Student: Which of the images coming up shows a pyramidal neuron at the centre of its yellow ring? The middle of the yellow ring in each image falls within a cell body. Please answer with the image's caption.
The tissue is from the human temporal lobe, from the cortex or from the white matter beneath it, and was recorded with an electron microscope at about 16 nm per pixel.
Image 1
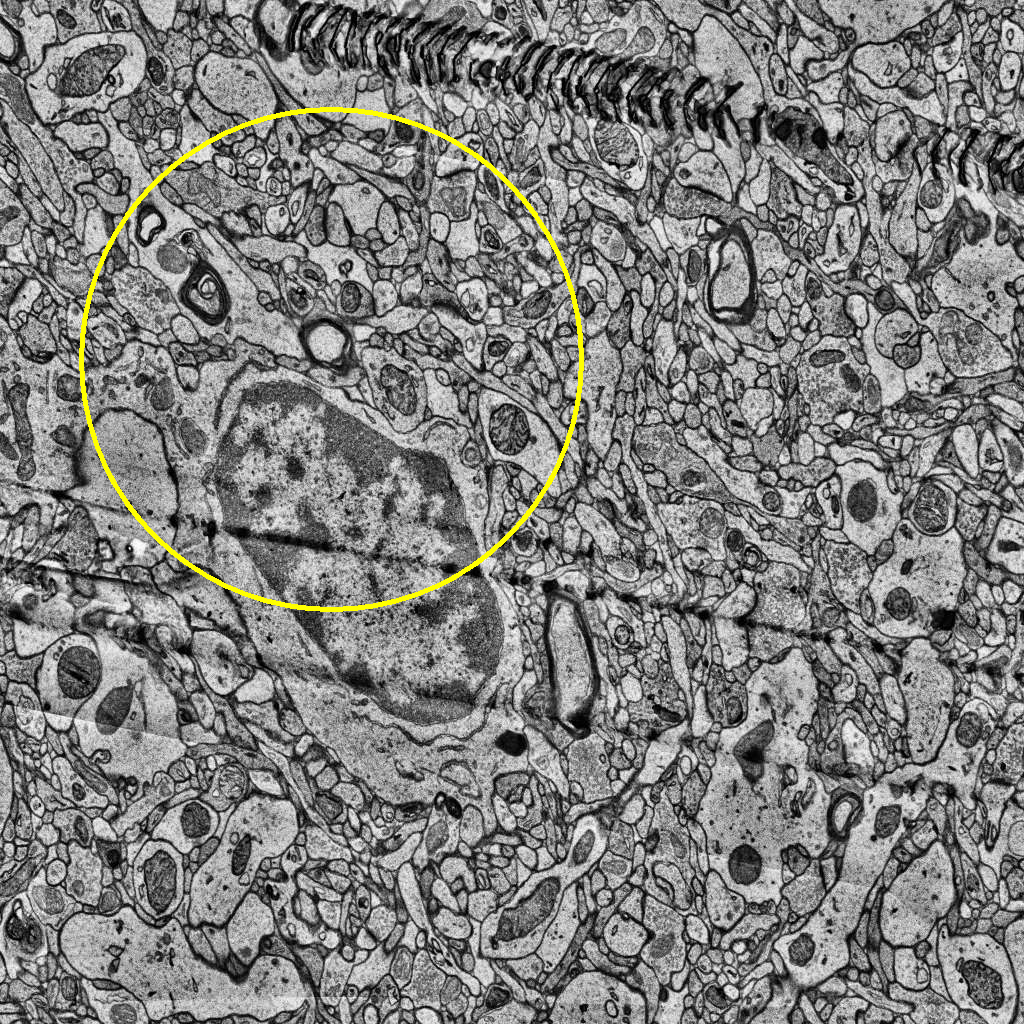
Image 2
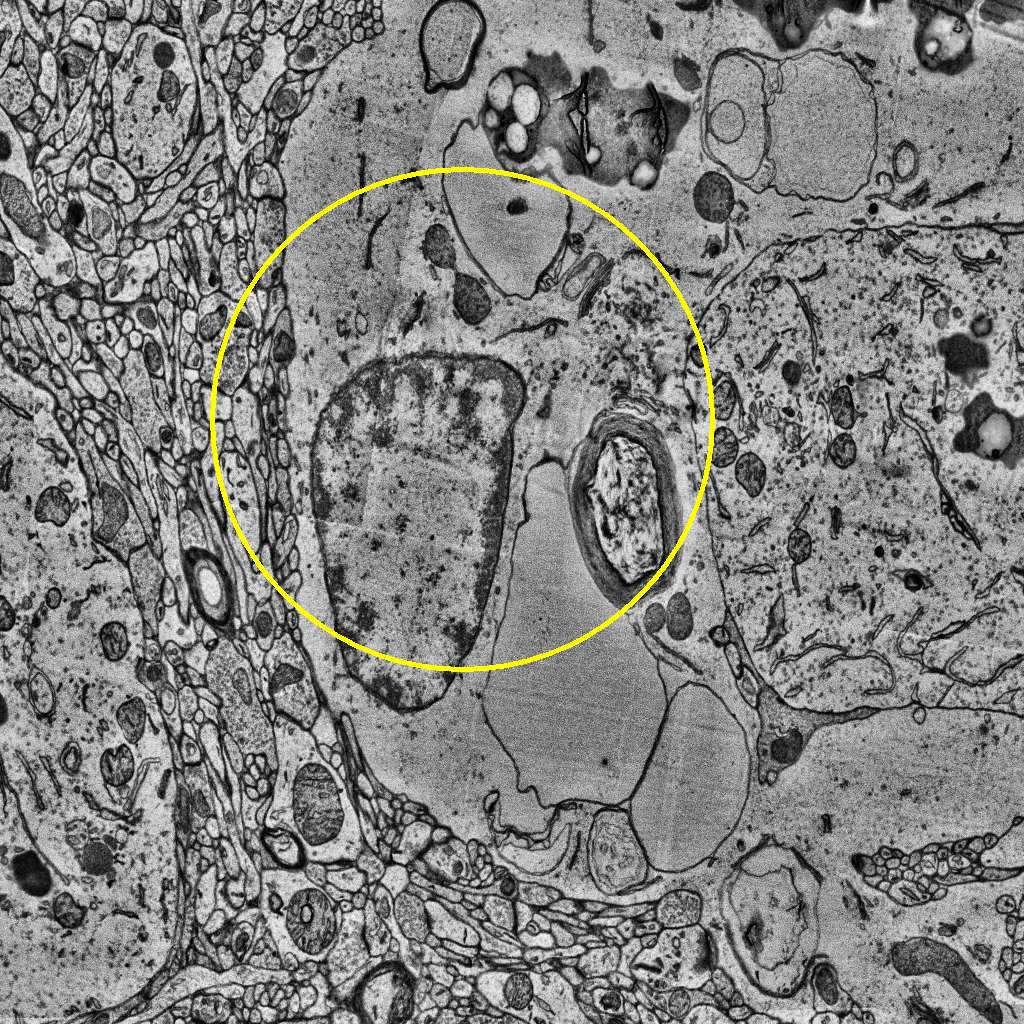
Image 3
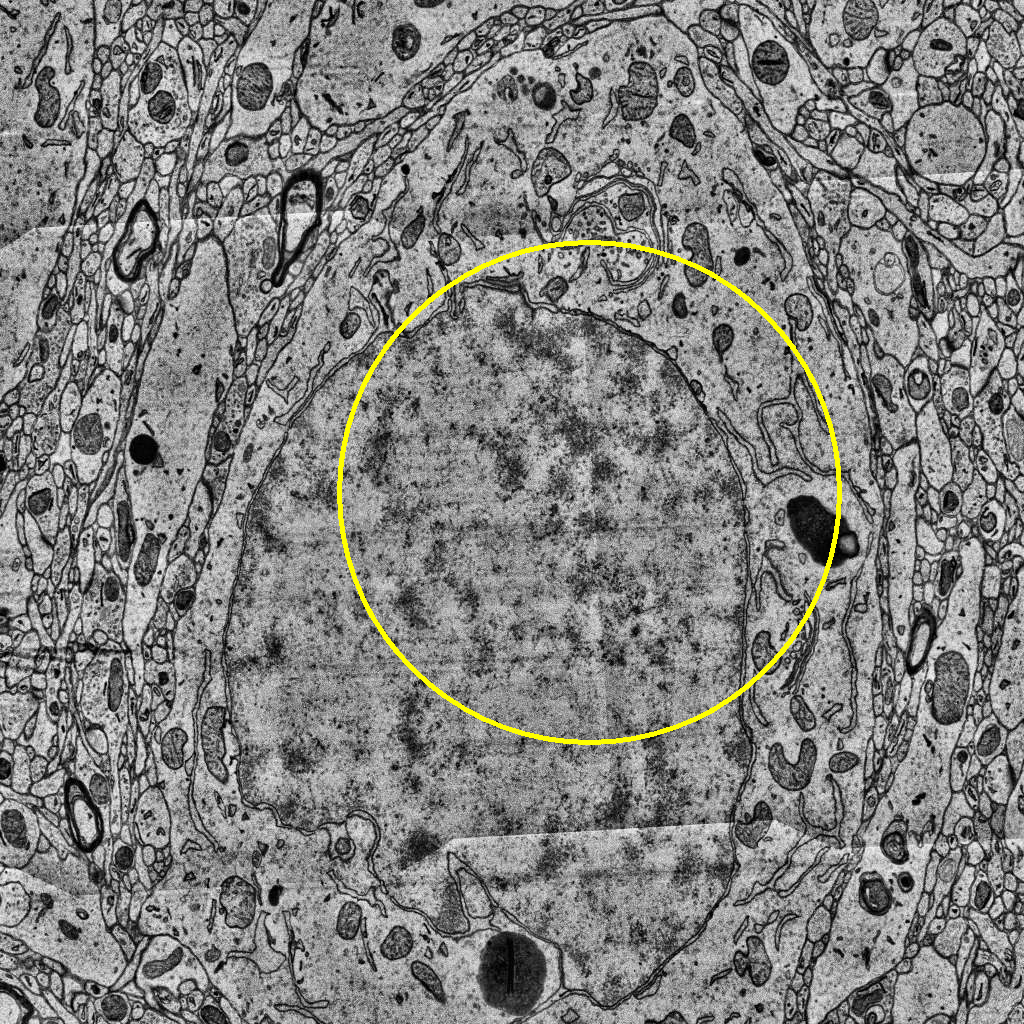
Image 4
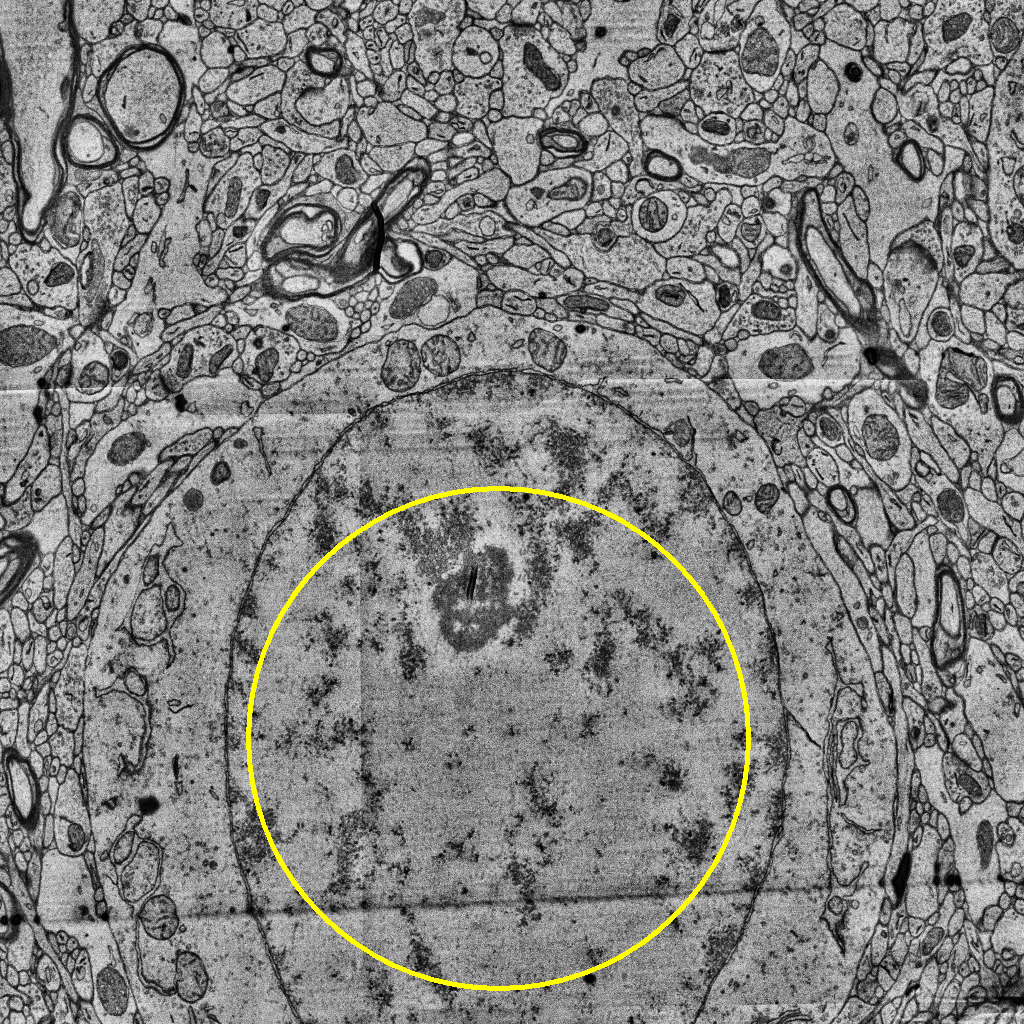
Image 4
